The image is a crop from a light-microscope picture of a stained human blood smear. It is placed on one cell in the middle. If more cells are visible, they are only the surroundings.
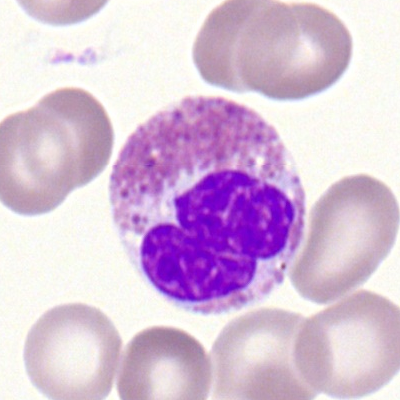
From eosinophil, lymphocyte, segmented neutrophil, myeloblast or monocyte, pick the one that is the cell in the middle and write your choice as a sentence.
The middle of this crop is occupied by an eosinophil.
